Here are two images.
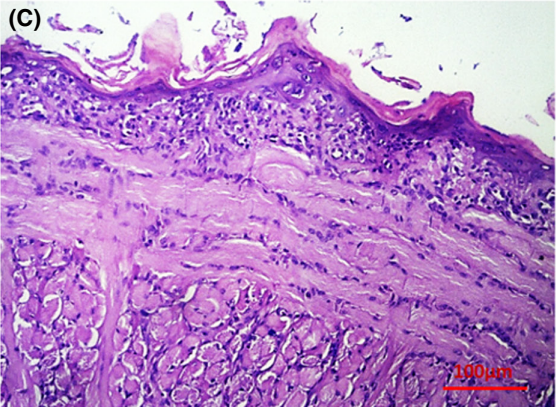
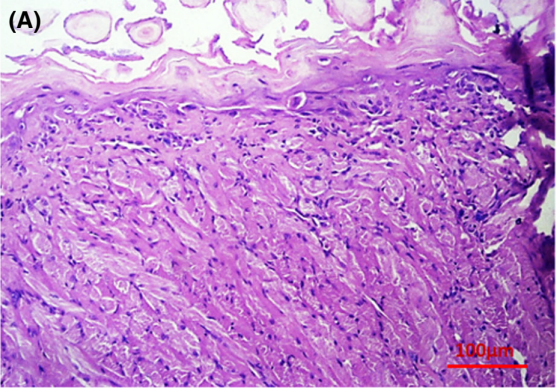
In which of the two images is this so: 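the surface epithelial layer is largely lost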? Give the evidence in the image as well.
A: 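First image: a distinct, densely nucleated stratified epithelium with a keratinized surface covers the tissue.
Hence: the second image.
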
